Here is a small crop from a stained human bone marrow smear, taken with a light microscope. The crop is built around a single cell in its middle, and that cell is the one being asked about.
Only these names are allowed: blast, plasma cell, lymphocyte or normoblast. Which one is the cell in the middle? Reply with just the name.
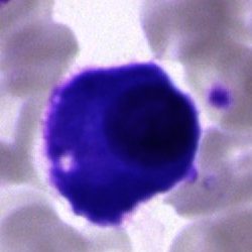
plasma cell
